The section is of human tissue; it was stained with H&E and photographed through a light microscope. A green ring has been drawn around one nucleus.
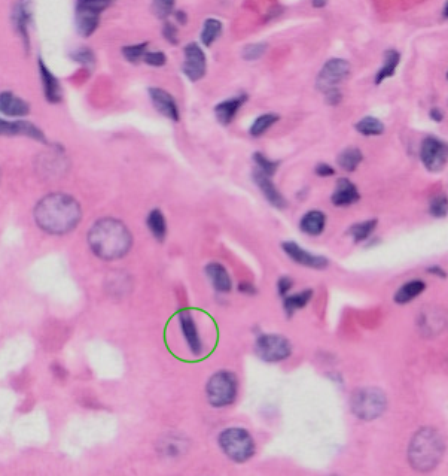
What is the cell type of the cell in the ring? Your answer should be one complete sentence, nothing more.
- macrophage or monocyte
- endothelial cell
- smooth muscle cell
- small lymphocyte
On this particular slide, the cell in the ring is an endothelial cell.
